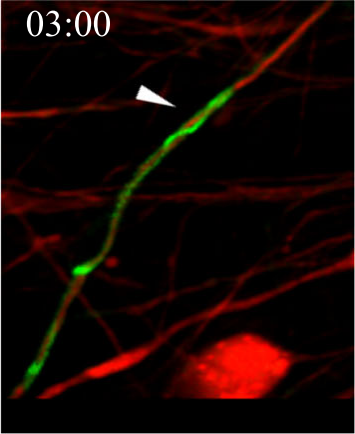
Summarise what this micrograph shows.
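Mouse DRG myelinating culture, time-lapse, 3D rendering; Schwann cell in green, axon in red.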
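The green band is not a smooth tube but twists across the fibre, and at the arrowhead a distinct spiral turn is seen. Bright green knots sit at intervals along the wrapped stretch.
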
